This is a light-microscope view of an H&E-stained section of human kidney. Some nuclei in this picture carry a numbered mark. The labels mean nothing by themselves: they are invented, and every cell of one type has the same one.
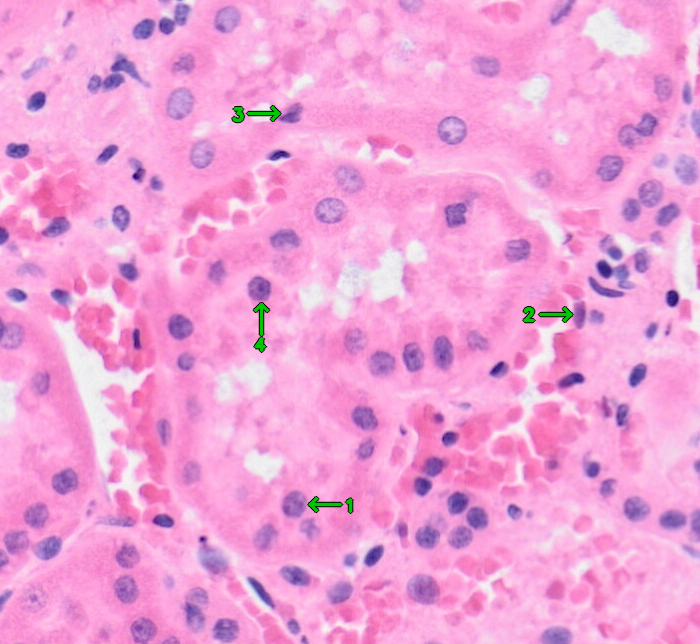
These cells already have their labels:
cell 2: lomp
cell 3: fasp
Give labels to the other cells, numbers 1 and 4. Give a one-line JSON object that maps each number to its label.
{"1": "fasp", "4": "fasp"}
